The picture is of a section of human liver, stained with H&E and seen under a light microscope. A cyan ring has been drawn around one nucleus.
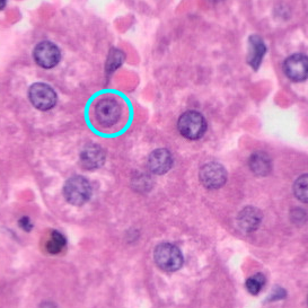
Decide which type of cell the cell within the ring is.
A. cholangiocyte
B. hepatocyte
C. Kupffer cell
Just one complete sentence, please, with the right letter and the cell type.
Here the cell within the ring is a hepatocyte; pick option B.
